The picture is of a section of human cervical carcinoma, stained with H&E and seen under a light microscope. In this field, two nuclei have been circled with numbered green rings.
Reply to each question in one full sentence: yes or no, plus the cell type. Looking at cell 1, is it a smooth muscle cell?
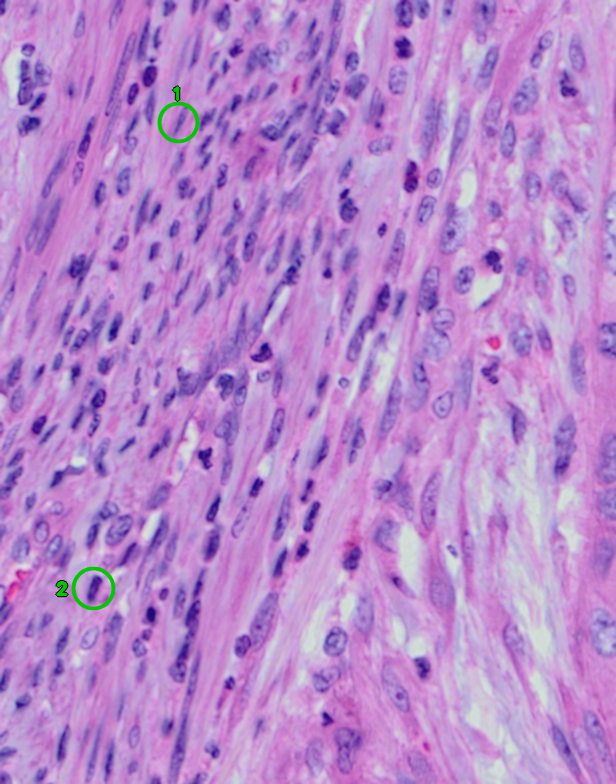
Yes, the cell distinguished by number 1 is a smooth muscle cell.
